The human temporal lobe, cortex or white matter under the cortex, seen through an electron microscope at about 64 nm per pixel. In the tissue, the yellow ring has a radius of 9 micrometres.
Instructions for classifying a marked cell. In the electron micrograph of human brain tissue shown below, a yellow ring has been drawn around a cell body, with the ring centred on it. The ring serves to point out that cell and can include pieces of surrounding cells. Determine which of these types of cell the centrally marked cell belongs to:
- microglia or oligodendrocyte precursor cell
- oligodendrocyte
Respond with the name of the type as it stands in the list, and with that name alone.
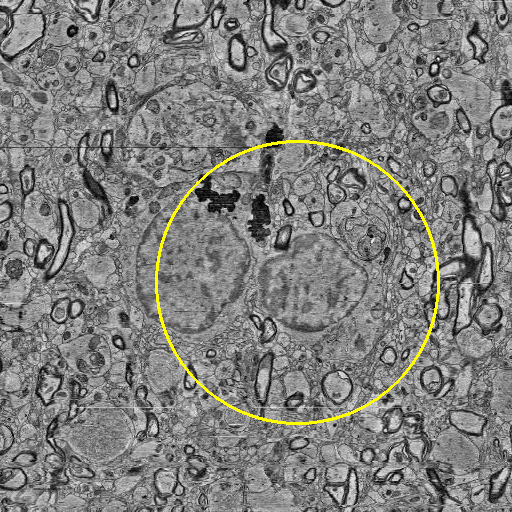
oligodendrocyte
